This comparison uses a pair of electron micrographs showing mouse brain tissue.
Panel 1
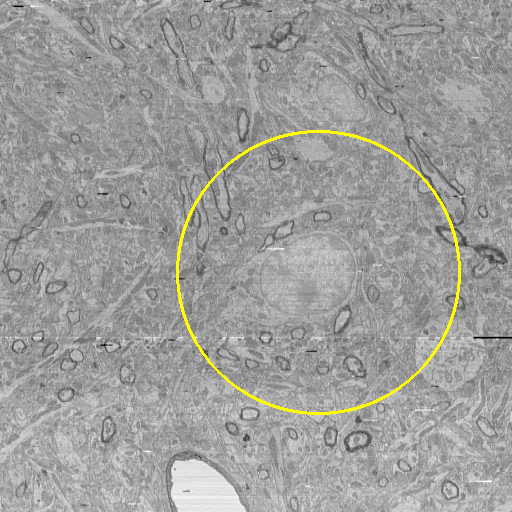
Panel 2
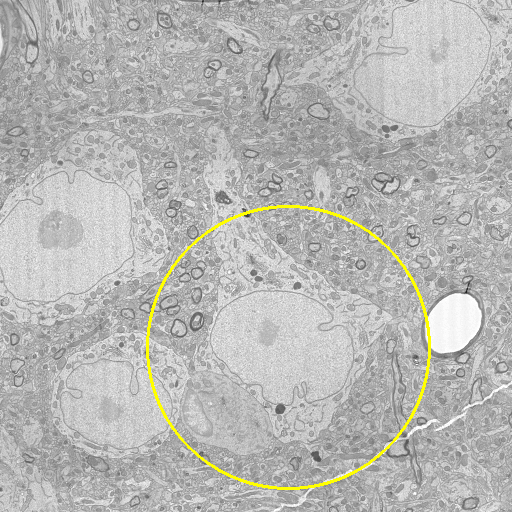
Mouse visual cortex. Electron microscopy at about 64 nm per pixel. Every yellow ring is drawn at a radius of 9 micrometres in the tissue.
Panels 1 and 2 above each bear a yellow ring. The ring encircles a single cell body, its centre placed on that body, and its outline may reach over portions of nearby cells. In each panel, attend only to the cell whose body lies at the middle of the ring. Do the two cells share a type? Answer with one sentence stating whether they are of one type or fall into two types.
In Panel 1 and Panel 2, the cells at the centres of the rings fall into two types.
